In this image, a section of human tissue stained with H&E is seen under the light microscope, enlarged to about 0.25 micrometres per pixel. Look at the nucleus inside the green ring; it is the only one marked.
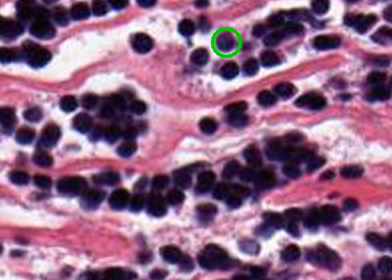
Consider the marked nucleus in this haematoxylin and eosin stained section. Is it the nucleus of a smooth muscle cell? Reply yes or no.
no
